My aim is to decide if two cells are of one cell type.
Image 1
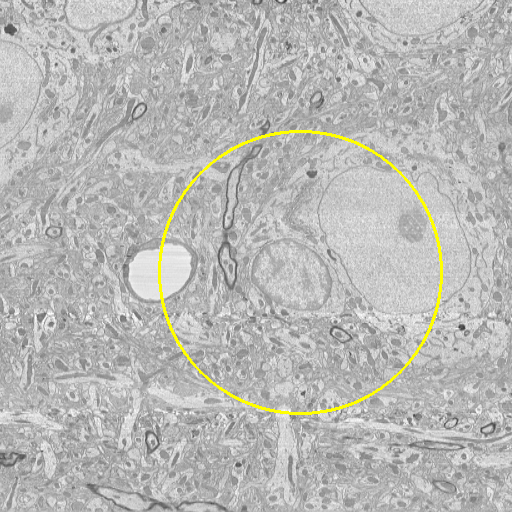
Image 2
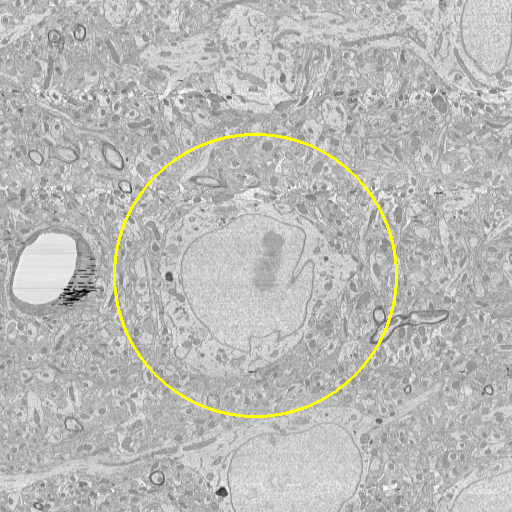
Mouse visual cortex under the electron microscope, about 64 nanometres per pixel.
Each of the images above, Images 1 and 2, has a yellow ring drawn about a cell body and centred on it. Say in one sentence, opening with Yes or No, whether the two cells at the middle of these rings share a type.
No, in Images 1 and 2 the cells at the middle of the rings fall into two types.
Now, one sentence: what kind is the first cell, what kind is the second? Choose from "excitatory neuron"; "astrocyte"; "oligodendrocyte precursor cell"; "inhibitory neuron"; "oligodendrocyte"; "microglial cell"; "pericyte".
The first picture has an oligodendrocyte at its ring centre, and the second has an excitatory neuron.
